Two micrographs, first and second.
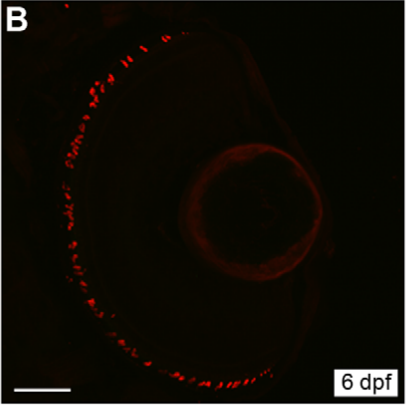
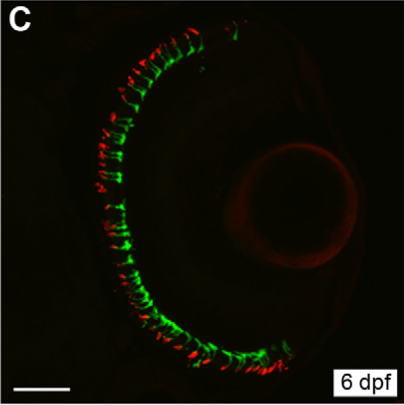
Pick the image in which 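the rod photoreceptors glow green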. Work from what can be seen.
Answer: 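The second image. Second image: a row of bright green elongated cells lines the outer retina. First image: only red profiles line the outer retina, with no green.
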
